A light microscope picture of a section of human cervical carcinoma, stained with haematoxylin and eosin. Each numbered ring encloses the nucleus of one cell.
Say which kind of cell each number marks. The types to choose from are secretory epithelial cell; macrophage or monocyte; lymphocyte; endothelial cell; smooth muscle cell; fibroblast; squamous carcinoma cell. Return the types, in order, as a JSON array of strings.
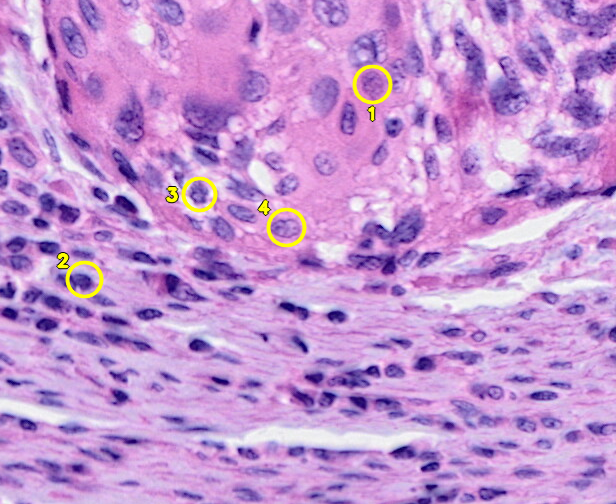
["squamous carcinoma cell", "lymphocyte", "lymphocyte", "squamous carcinoma cell"]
